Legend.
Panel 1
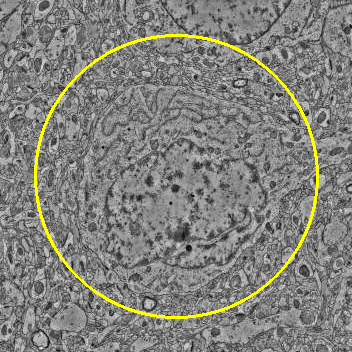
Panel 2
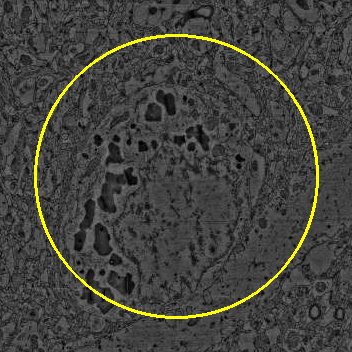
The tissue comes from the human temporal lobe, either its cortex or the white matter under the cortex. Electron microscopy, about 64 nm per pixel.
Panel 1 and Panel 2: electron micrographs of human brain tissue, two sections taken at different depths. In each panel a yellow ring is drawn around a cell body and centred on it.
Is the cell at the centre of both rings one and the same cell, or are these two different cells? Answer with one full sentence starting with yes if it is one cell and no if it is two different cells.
No, the pair of rings marks a pair of different cells.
